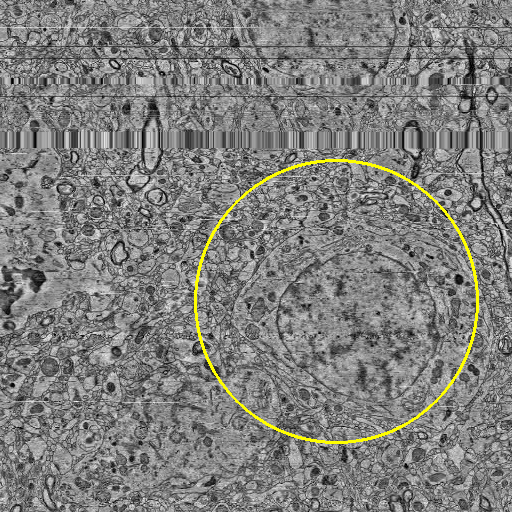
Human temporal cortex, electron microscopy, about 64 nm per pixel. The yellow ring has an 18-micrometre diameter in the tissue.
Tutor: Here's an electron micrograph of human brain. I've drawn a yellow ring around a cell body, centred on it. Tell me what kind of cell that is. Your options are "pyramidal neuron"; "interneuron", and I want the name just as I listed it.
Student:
interneuron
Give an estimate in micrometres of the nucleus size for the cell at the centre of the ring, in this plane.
The nucleus appears about 10 micrometres across in this plane.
